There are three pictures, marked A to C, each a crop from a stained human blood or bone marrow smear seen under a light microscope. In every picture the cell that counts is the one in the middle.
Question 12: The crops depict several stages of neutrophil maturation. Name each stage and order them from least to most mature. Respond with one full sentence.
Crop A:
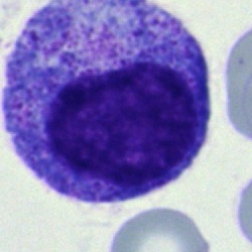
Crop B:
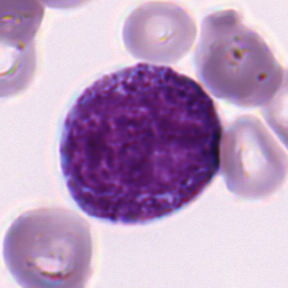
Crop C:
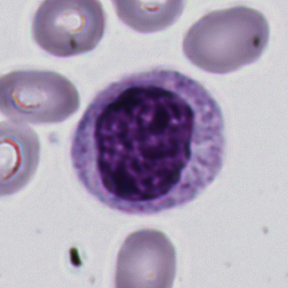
Along the maturation pathway, from earliest to latest, the order is crop A (a promyelocyte), crop B (a myelocyte) and crop C (a metamyelocyte).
